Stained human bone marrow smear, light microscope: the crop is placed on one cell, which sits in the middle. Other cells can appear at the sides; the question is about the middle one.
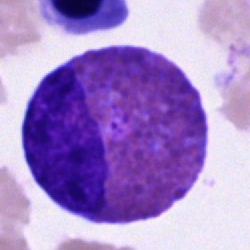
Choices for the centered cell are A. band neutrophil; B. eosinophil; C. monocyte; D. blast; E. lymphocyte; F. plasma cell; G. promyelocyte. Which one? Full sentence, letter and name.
The cell at the heart of the crop is an eosinophil, so choose option B.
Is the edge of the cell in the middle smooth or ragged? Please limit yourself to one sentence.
Its surface contour is regular and smooth, without any protrusions.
